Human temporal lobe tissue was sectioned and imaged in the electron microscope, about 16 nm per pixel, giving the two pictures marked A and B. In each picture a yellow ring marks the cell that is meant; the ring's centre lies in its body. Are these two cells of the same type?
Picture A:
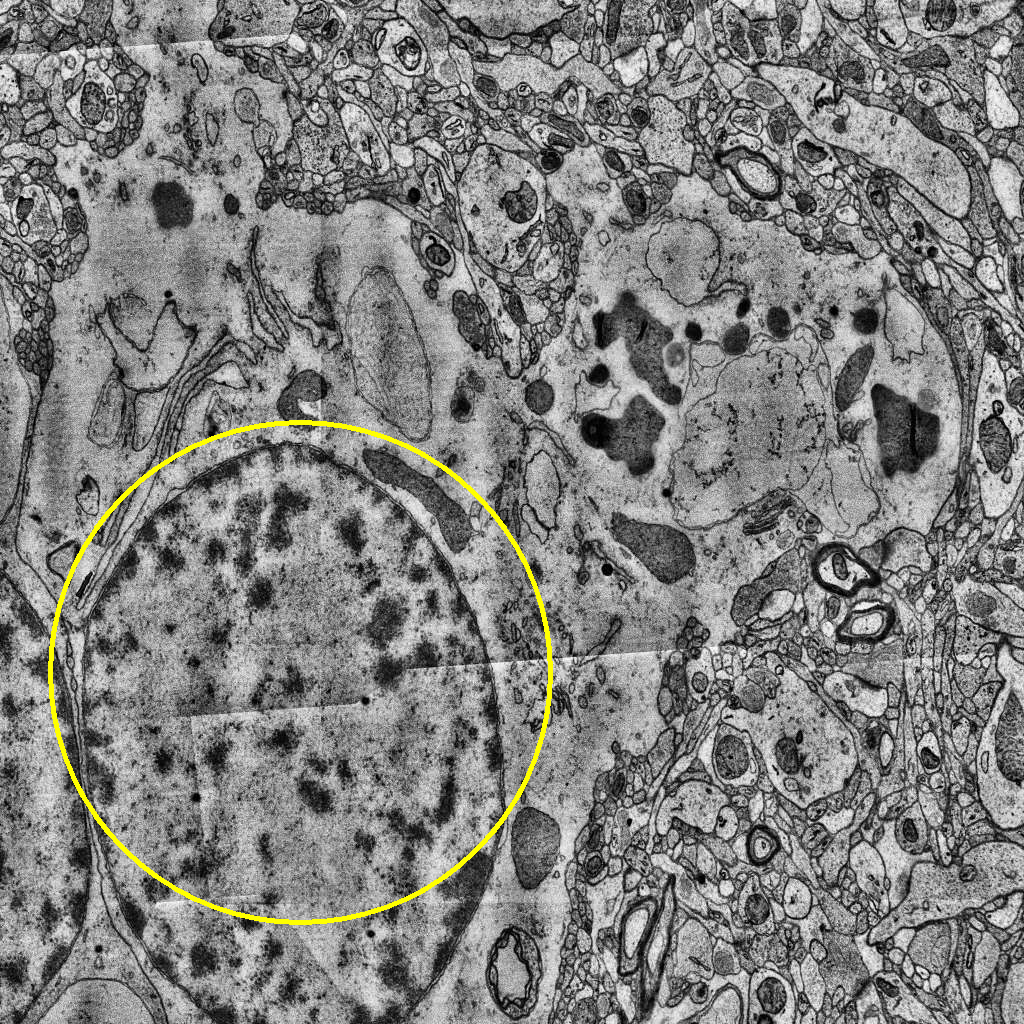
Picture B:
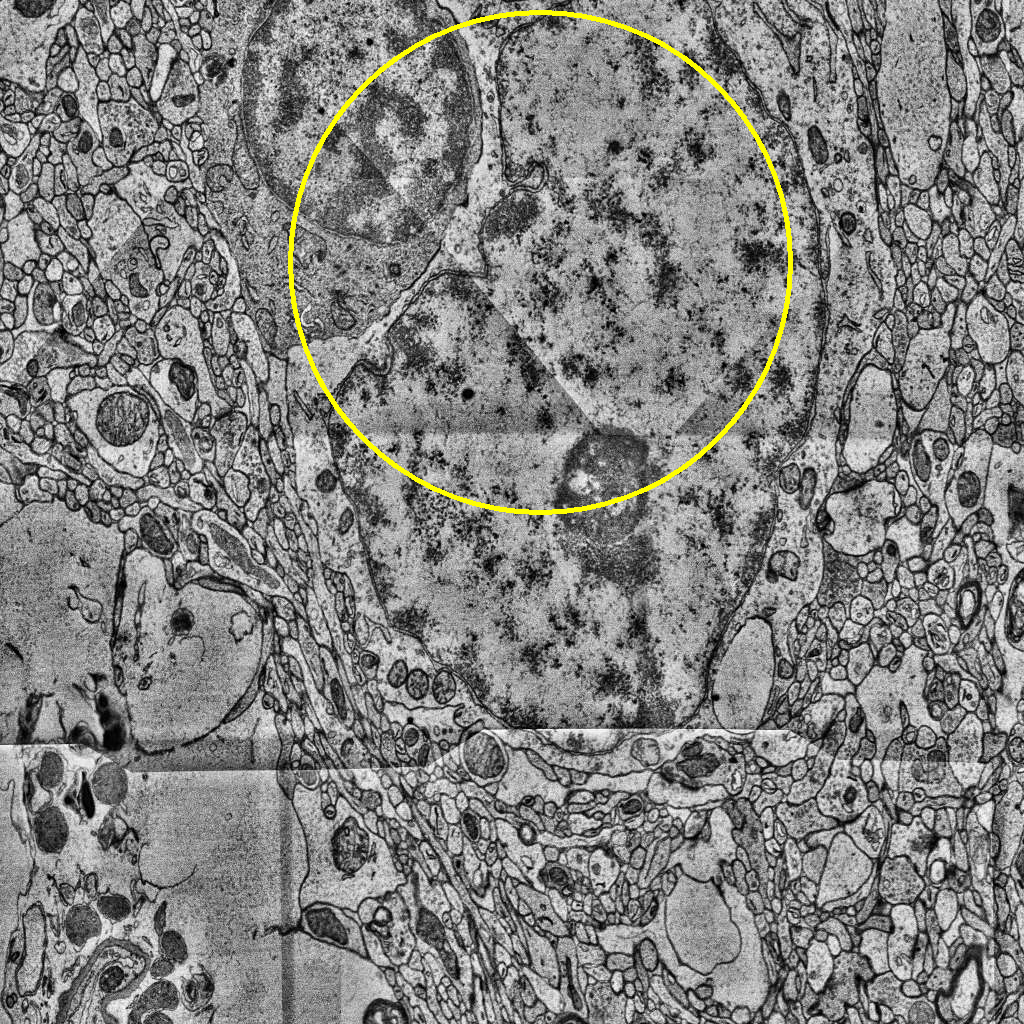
No, picture A shows an astrocyte and picture B shows an interneuron.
